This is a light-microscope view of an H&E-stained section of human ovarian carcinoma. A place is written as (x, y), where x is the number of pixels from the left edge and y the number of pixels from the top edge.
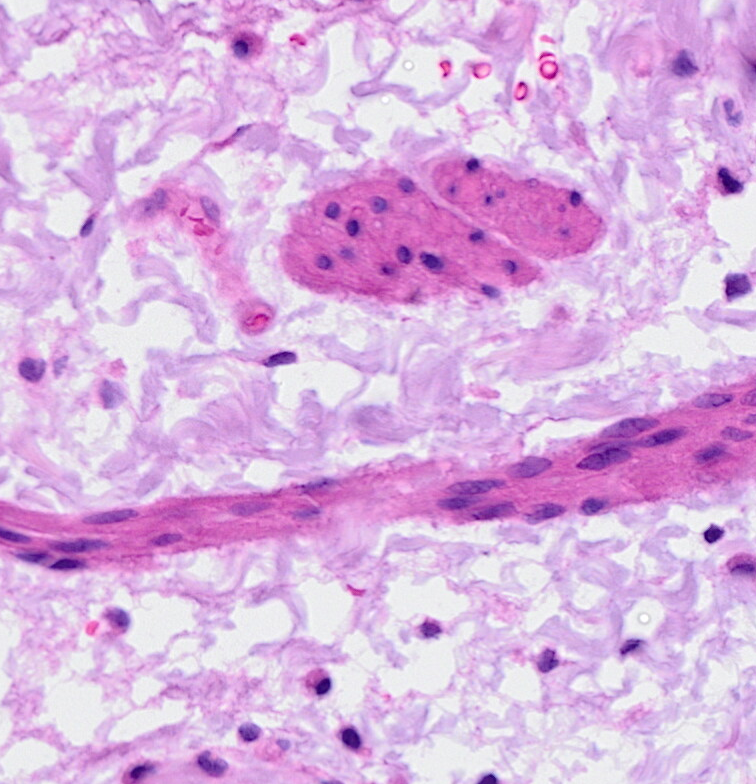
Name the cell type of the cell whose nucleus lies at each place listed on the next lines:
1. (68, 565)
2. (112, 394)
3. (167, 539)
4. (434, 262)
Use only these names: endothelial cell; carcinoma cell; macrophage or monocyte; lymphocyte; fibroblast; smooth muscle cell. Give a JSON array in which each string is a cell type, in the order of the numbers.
["smooth muscle cell", "fibroblast", "smooth muscle cell", "smooth muscle cell"]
